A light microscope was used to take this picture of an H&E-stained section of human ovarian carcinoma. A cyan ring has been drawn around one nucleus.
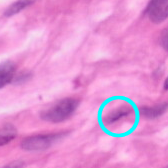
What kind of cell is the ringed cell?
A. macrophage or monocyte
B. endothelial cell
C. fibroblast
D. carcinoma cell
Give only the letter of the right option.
C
